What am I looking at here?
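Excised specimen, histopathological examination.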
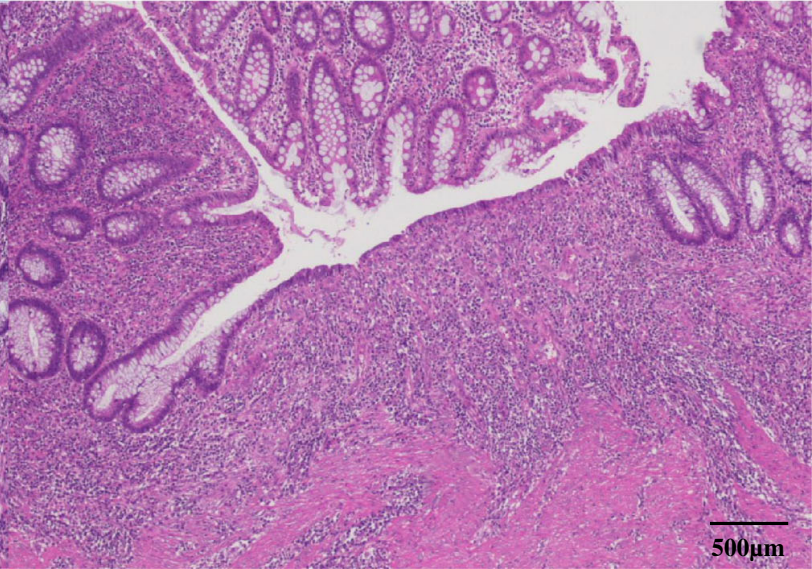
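This is colonic-type mucosa in which round and tubular glands lined by columnar epithelium with many pale goblet cells sit in the upper part of the field. A slit-like space runs across the middle. Beneath and beside it, the surface is covered by a thin lining without glands, under which the tissue is densely crowded with small dark purple nuclei of inflammatory cells. Toward the bottom right, this cellular tissue merges with pink, streaming bundles of smooth muscle and fibrous tissue, so the normal layering of the wall is disrupted.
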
